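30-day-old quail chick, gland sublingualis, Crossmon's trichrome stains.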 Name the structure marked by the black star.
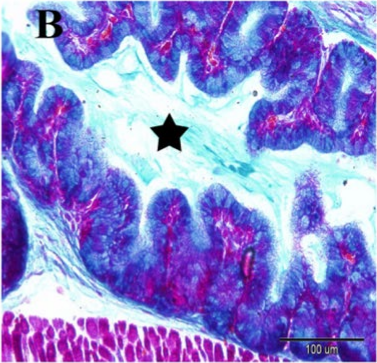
Central lumen.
